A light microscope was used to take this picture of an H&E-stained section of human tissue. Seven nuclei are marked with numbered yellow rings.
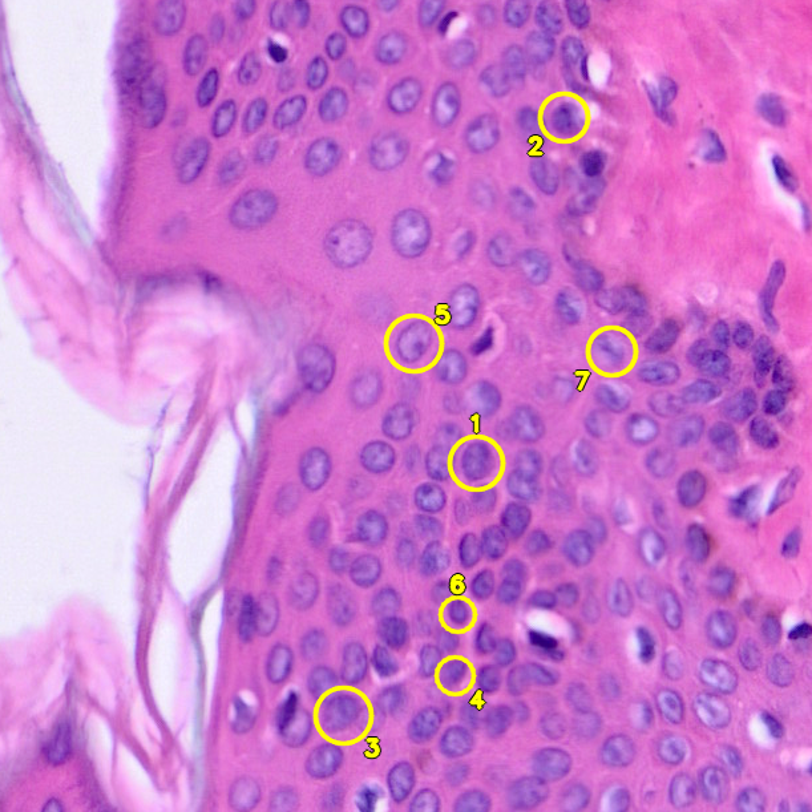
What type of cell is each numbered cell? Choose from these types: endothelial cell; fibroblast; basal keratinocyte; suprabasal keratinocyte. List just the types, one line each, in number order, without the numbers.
suprabasal keratinocyte
basal keratinocyte
suprabasal keratinocyte
basal keratinocyte
suprabasal keratinocyte
basal keratinocyte
suprabasal keratinocyte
